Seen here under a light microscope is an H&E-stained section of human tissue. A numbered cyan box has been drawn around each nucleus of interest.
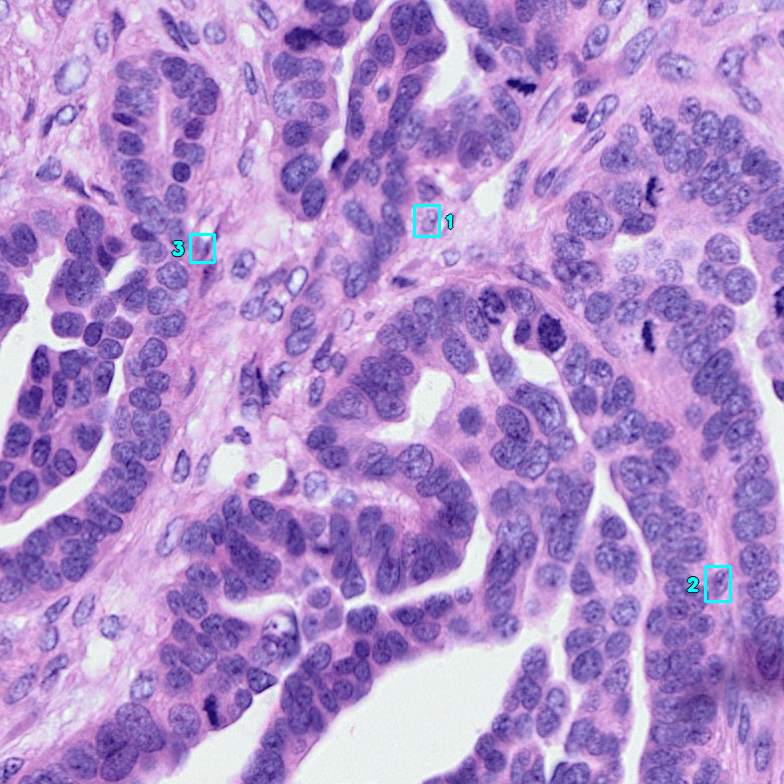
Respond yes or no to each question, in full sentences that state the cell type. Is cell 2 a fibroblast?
No, the cell tagged 2 is a macrophage or monocyte, not a fibroblast.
